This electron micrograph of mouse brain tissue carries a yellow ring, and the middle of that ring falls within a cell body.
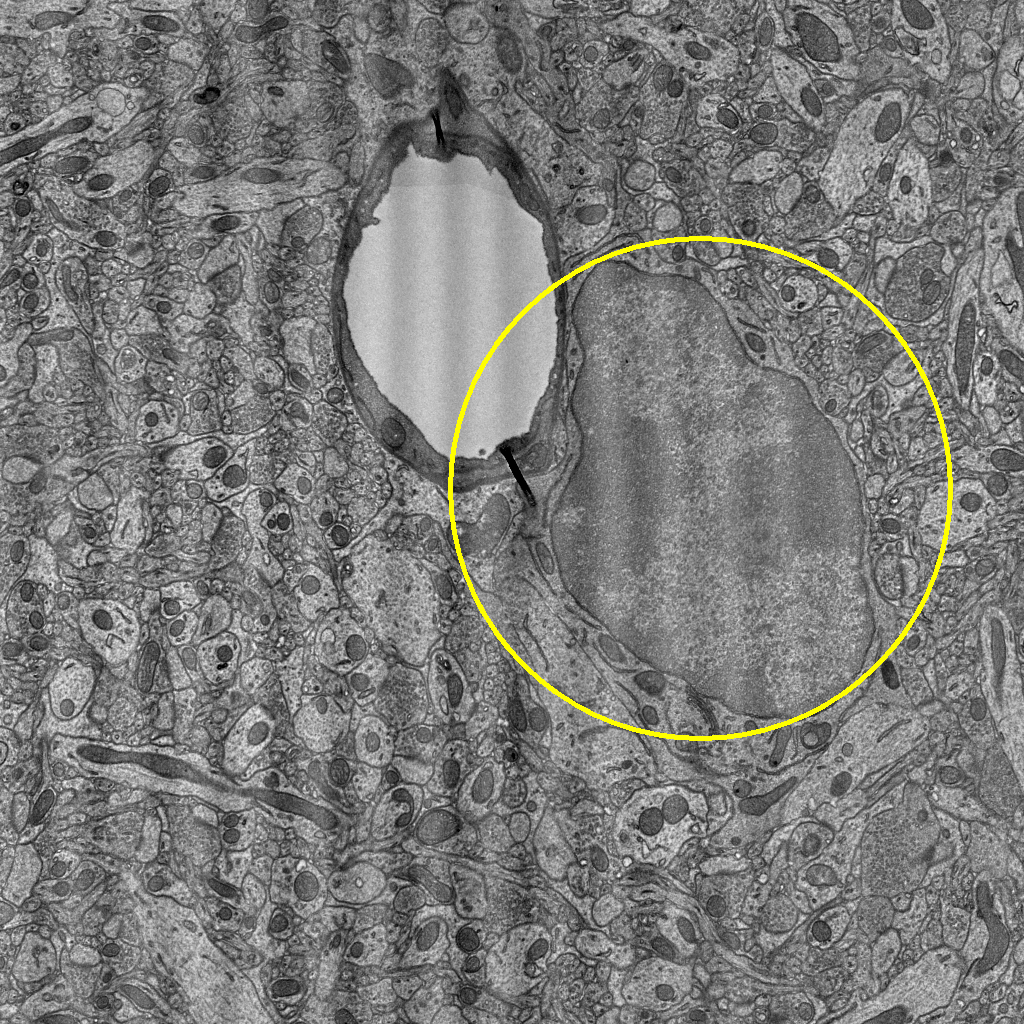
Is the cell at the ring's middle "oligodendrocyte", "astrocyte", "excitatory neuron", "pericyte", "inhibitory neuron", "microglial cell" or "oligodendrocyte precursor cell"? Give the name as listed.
microglial cell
